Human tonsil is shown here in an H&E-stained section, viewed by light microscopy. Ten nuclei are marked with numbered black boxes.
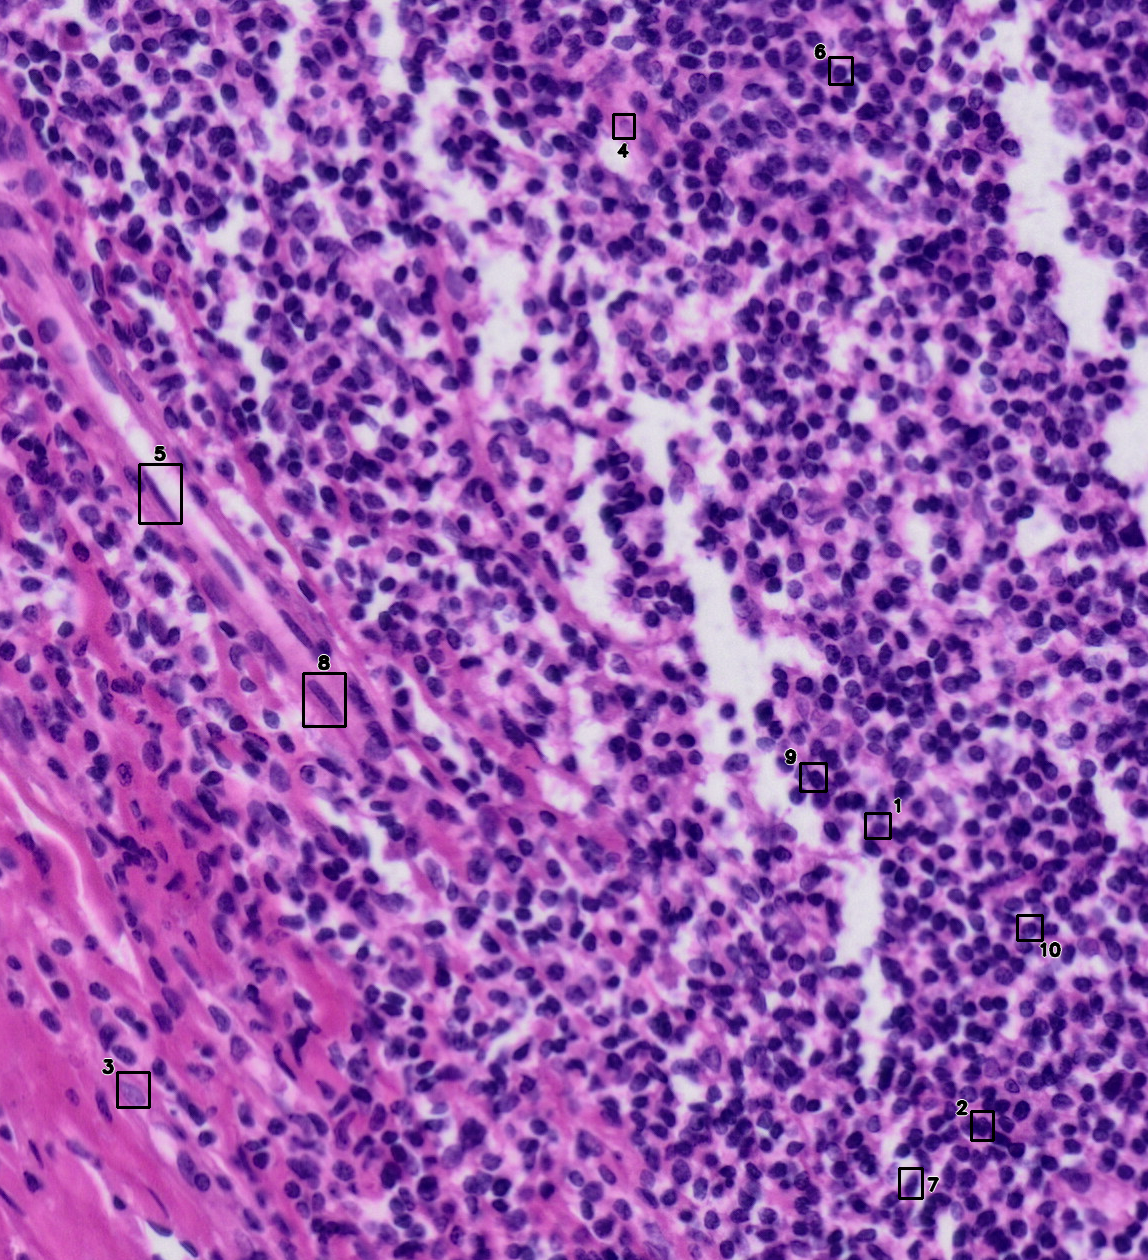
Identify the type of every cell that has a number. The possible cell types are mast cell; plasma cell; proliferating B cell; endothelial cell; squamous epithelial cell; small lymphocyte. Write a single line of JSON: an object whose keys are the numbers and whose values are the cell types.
{"1": "small lymphocyte", "2": "small lymphocyte", "3": "endothelial cell", "4": "endothelial cell", "5": "endothelial cell", "6": "small lymphocyte", "7": "small lymphocyte", "8": "endothelial cell", "9": "small lymphocyte", "10": "small lymphocyte"}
